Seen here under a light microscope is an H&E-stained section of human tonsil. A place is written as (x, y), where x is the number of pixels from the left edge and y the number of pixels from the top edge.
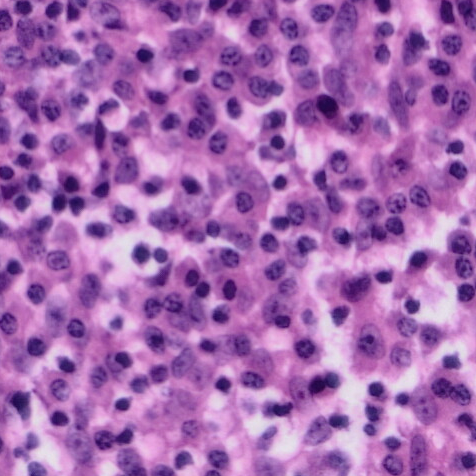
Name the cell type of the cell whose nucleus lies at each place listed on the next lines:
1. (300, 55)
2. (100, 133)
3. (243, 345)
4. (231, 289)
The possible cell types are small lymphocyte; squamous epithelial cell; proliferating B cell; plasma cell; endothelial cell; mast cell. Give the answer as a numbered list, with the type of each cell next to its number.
1. plasma cell
2. squamous epithelial cell
3. plasma cell
4. plasma cell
